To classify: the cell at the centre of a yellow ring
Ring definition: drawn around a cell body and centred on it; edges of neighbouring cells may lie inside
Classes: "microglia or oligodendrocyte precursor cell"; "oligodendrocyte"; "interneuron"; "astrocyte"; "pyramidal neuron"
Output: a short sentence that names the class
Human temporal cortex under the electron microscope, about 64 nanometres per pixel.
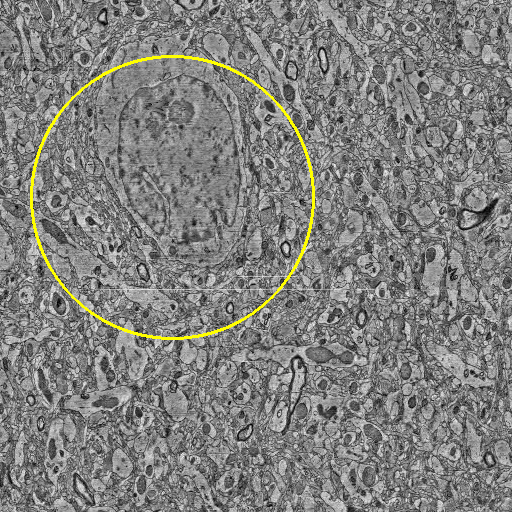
The ringed cell is an interneuron.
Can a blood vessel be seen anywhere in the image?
No.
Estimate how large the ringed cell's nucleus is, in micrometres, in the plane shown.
Approximately 11 by 8 micrometers in this plane.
